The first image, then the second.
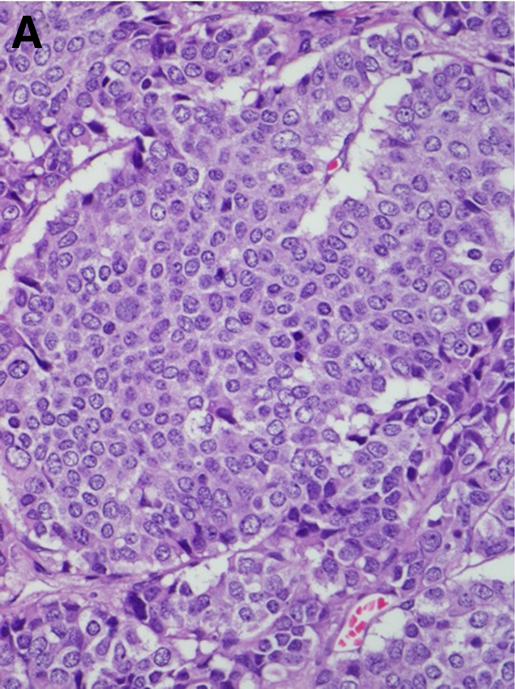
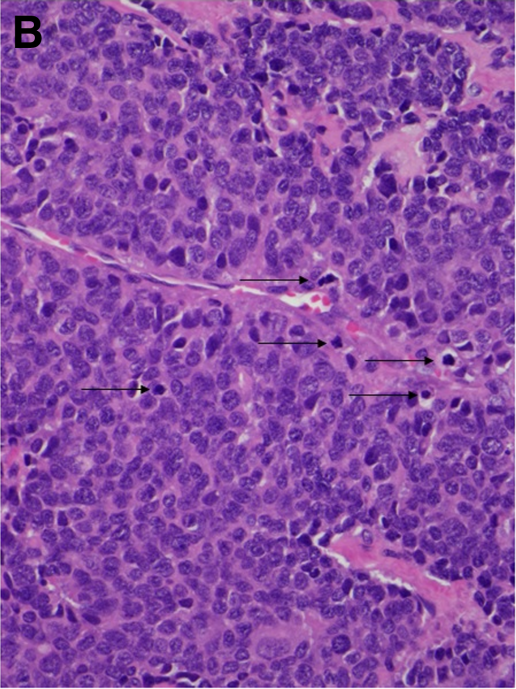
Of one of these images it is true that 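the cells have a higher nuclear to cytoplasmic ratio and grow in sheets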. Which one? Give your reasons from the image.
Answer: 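Second image: crowded dark nuclei with scant cytoplasm form a continuous sheet. First image: nuclei are spaced apart by paler, more abundant cytoplasm, in nests bordered by septa. So: the second image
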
